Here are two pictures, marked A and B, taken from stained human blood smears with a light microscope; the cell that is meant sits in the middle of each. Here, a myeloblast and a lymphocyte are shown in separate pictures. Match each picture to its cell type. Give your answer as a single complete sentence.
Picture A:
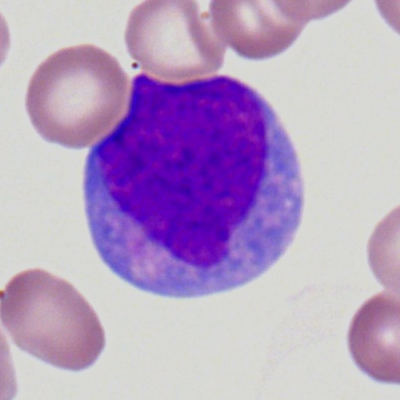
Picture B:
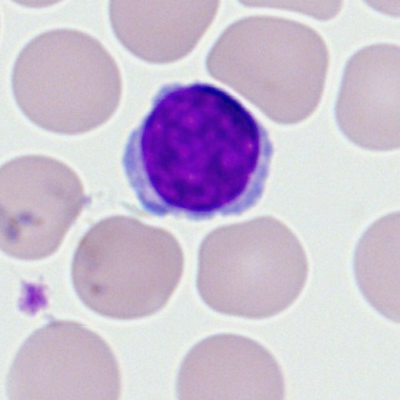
In picture A the cell is a myeloblast; in picture B, a lymphocyte.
